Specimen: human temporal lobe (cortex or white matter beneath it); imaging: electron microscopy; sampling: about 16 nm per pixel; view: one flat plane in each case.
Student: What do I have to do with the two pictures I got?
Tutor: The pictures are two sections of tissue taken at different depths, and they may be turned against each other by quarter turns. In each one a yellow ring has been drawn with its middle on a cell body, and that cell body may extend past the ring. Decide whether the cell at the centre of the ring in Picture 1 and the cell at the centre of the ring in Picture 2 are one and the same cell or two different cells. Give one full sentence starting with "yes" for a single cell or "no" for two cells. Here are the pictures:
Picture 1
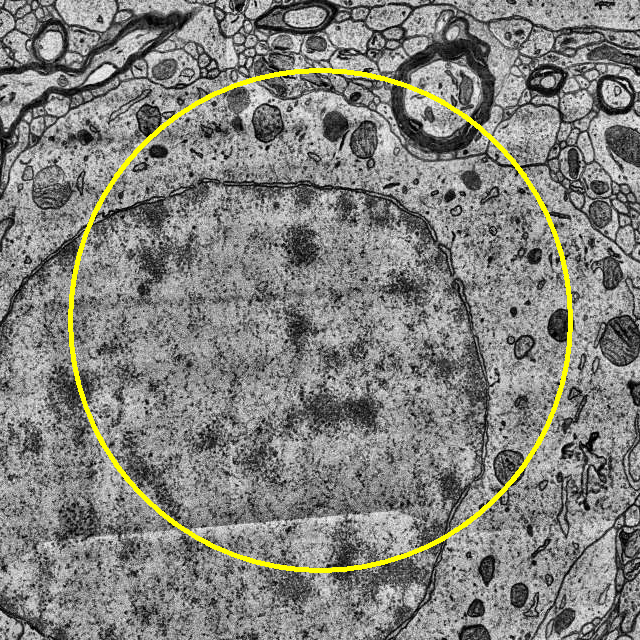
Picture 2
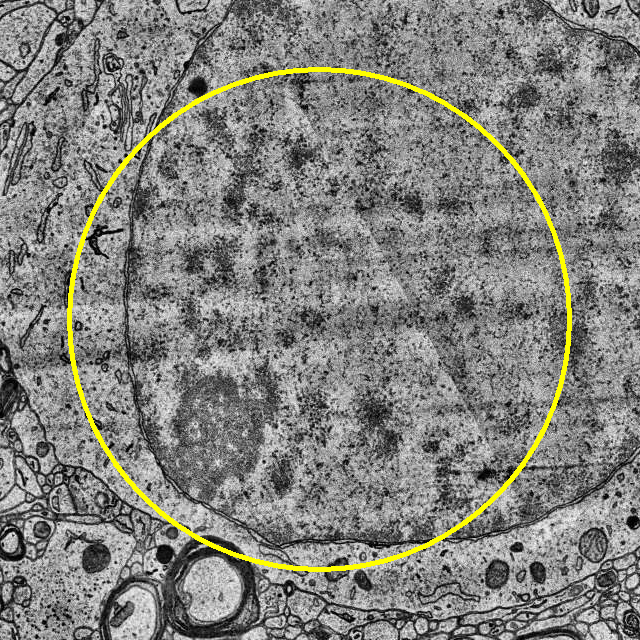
Yes, the same cell has been marked in both yellow rings.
